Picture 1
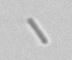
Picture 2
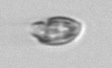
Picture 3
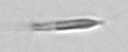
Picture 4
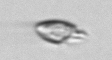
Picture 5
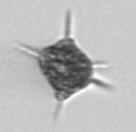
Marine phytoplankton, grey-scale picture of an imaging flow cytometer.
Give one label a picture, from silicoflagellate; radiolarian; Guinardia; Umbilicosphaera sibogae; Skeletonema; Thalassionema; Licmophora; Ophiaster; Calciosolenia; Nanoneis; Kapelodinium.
1. Nanoneis
2. Kapelodinium
3. Calciosolenia
4. Kapelodinium
5. silicoflagellate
